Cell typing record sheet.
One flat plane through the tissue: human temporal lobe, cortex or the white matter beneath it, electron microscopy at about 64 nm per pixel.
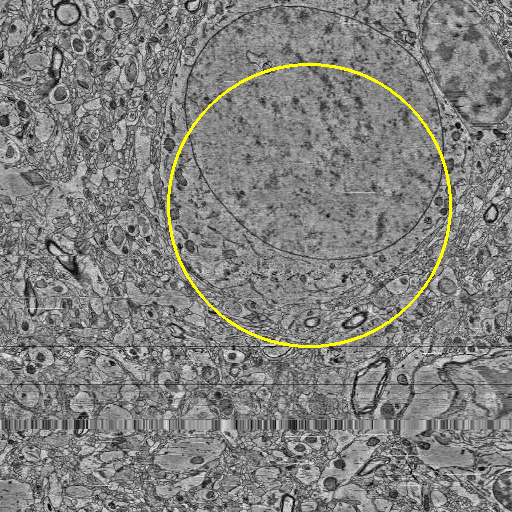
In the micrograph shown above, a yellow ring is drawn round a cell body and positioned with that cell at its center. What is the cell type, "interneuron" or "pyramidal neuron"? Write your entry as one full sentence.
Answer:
The cell body at the center of the ring belongs to a pyramidal neuron.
